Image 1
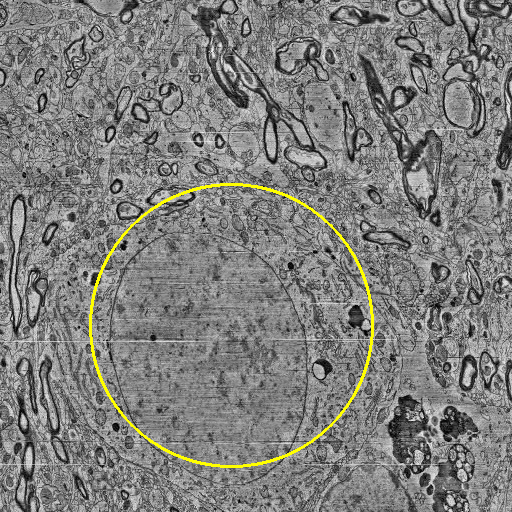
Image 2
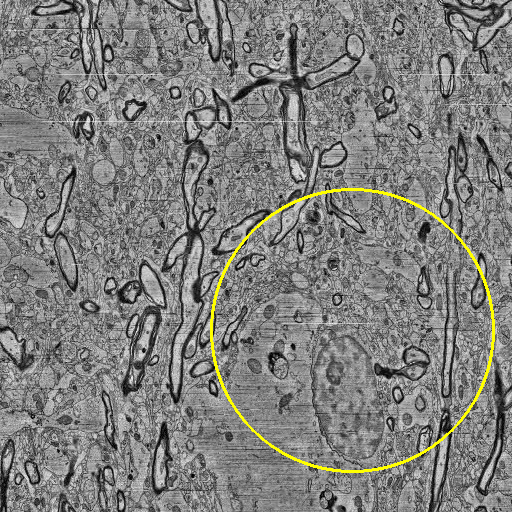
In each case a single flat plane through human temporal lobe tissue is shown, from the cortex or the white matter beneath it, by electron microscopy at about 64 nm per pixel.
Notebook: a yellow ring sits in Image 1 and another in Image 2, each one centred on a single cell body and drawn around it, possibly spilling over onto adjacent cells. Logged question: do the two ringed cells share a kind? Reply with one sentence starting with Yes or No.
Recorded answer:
No, the centre cells inside the rings of Image 1 and Image 2 are of two kinds.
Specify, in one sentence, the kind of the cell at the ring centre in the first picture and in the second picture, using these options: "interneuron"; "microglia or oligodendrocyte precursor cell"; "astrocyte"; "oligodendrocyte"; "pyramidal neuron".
So the first is a pyramidal neuron, the second an oligodendrocyte.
